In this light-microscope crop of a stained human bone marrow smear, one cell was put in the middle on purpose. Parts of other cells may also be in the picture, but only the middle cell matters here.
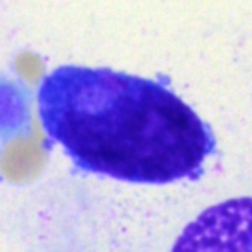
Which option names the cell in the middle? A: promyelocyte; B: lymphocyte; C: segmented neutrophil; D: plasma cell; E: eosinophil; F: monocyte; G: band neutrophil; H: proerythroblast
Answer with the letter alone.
A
